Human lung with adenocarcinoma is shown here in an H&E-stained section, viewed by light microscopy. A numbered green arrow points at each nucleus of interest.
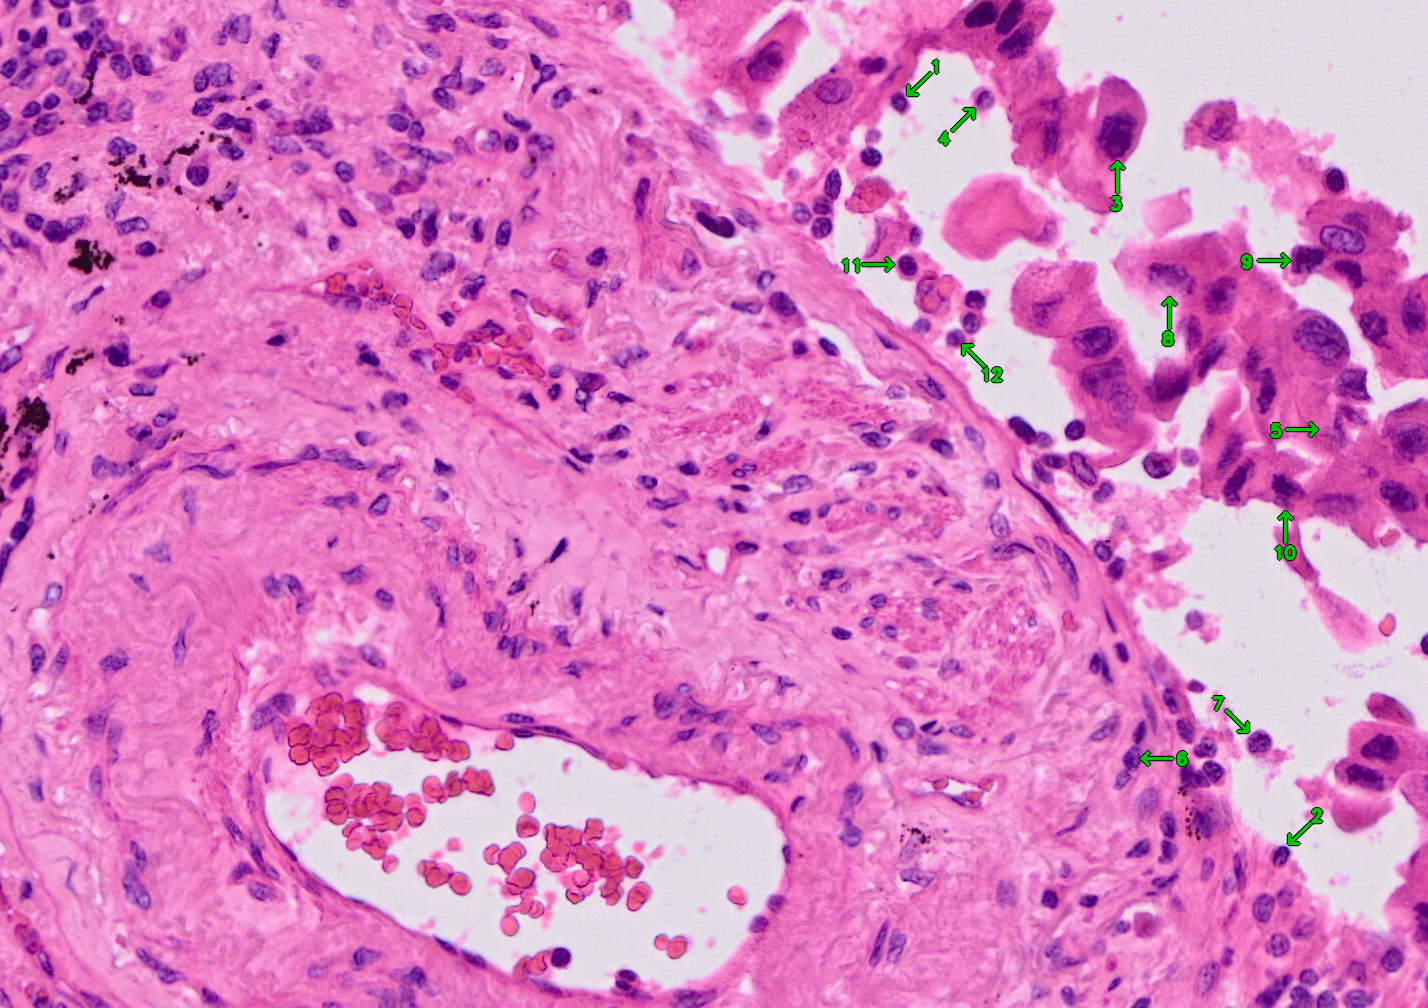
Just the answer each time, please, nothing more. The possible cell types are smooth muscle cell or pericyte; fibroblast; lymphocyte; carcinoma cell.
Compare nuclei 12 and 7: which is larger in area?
7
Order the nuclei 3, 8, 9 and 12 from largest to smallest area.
3, 8, 9, 12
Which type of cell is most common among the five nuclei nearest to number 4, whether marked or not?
carcinoma cell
